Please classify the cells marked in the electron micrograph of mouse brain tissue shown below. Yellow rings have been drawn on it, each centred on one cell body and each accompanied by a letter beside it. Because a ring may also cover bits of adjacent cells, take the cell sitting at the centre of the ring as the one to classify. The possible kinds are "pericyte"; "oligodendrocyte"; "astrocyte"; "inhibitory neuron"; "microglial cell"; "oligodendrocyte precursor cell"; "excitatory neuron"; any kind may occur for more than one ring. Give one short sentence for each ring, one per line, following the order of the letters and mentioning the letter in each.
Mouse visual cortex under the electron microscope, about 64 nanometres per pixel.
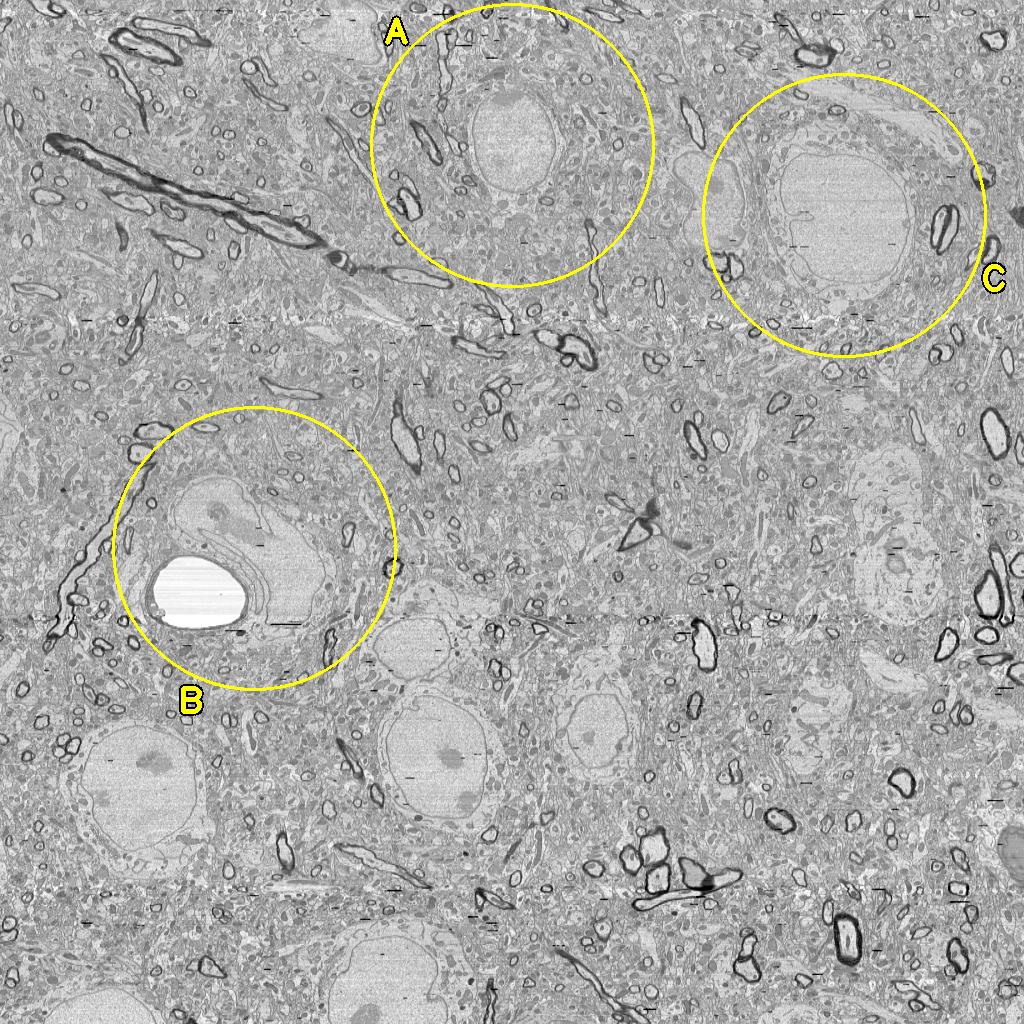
Ring A marks the cell body of an astrocyte.
Ring B marks the cell body of an inhibitory neuron.
Ring C marks the cell body of an excitatory neuron.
